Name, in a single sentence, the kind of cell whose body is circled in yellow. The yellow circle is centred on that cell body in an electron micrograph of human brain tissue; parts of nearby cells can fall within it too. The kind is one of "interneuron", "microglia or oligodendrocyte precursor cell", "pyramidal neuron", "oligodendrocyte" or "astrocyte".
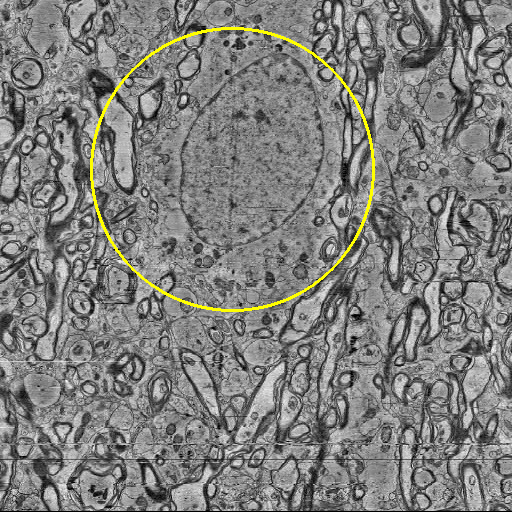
The circled cell body belongs to an astrocyte.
